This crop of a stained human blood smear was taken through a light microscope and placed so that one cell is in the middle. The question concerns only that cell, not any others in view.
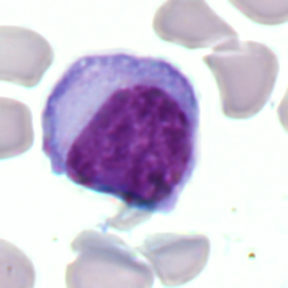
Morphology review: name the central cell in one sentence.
The cell occupying the middle of the crop is a plasma cell.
